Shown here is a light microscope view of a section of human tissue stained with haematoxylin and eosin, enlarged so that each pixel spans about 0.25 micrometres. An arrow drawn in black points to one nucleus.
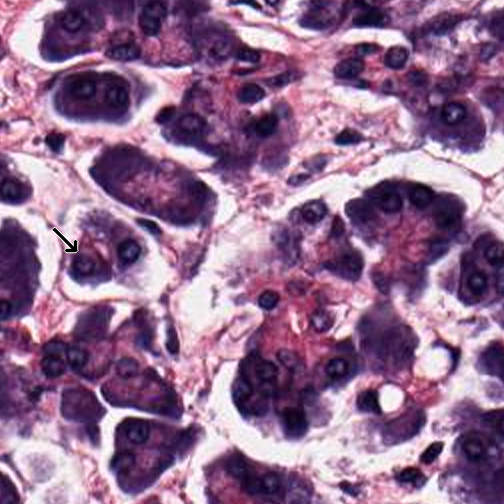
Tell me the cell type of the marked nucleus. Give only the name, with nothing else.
pancreatic acinar cell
